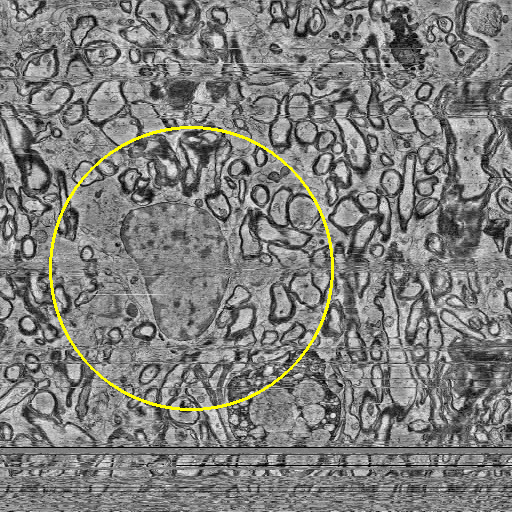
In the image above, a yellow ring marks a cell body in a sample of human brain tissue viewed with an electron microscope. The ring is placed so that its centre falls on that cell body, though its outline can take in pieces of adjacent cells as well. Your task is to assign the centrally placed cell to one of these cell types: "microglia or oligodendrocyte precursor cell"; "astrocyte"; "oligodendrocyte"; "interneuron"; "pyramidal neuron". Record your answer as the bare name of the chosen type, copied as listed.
microglia or oligodendrocyte precursor cell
